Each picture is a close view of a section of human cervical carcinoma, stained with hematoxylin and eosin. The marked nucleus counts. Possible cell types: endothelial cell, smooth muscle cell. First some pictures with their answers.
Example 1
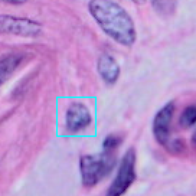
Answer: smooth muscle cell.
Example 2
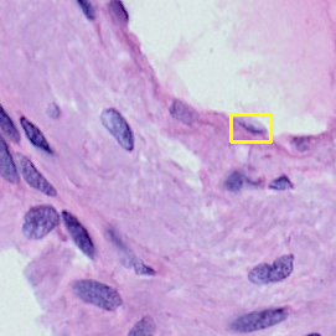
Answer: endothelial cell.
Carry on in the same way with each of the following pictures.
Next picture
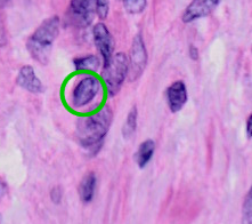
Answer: endothelial cell.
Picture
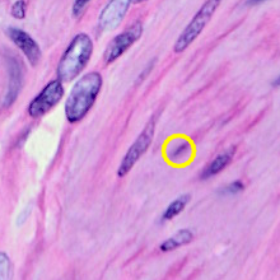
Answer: smooth muscle cell.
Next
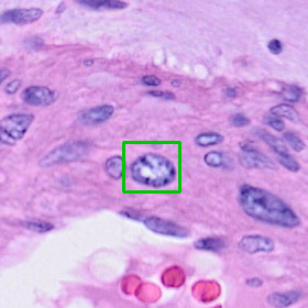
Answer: smooth muscle cell.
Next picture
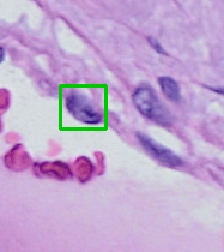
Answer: endothelial cell.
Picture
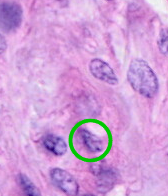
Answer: endothelial cell.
